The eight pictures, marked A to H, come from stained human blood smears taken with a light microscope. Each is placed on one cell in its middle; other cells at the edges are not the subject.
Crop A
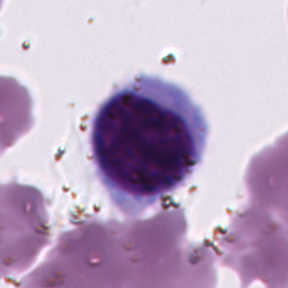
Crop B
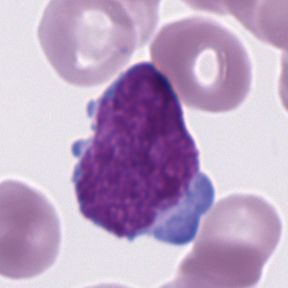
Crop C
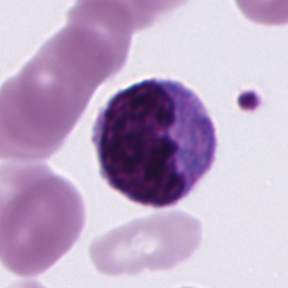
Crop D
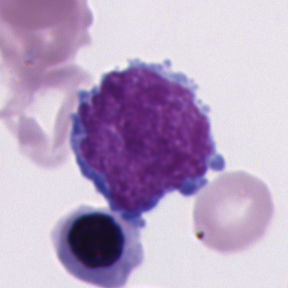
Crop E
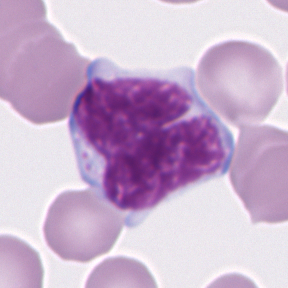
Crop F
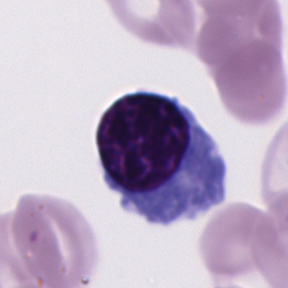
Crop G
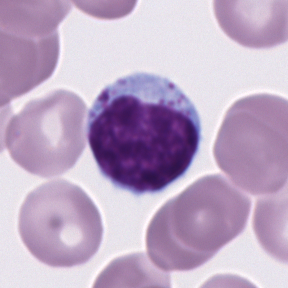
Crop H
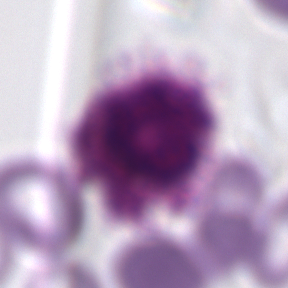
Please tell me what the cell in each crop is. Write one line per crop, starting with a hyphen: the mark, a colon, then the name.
- A: hairy cell
- B: myeloblast
- C: monocyte
- D: myeloblast
- E: large granular lymphocyte
- F: erythroblast
- G: large granular lymphocyte
- H: smudge cell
